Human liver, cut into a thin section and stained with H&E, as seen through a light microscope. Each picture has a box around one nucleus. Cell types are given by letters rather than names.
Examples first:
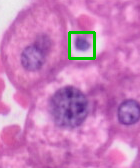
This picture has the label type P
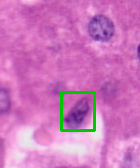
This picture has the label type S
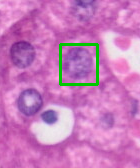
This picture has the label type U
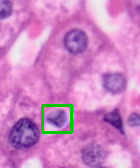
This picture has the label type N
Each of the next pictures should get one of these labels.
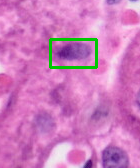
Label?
type S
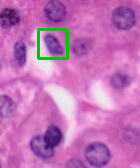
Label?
type S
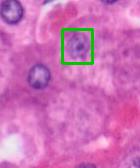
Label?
type U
